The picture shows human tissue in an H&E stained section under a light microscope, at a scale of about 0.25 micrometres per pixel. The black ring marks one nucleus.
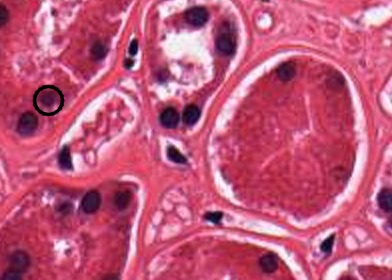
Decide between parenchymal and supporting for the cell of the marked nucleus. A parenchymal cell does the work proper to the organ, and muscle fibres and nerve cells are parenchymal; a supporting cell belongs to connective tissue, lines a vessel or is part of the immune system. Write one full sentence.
A parenchymal cell holds the marked nucleus, and that cell is a proximal tubule cell.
